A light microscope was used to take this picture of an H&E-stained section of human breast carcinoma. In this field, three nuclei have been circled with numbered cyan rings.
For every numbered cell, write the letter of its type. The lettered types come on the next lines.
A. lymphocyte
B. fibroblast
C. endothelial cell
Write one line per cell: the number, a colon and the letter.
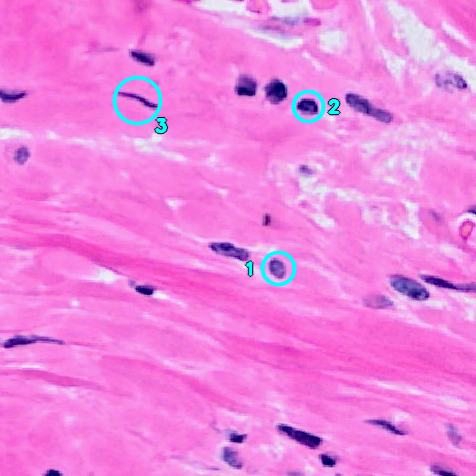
1: A
2: A
3: B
